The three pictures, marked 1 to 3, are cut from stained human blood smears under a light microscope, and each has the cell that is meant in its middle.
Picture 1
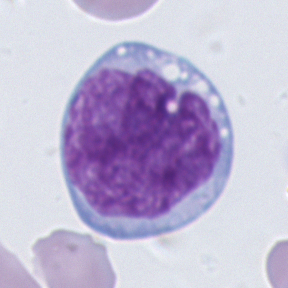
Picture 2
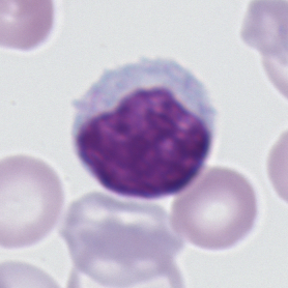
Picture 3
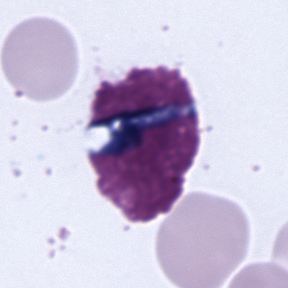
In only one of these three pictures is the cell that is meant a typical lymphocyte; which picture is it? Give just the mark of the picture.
2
